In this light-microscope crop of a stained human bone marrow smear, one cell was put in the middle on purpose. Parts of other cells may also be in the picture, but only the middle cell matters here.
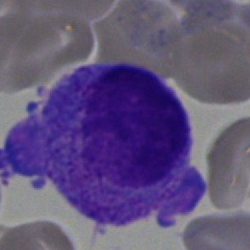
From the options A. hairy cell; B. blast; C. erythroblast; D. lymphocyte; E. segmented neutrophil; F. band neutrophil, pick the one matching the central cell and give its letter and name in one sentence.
Option B is the right one, for the cell in the middle is a blast.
